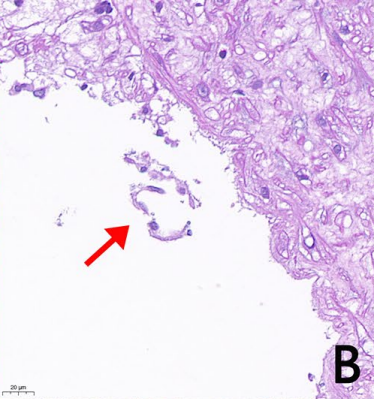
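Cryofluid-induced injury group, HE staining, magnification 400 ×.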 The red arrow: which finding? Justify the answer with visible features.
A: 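A thin detached strand of cells floats free in the empty lumen. It lies just off the tissue surface.
Answer: Endothelial cell shedding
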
